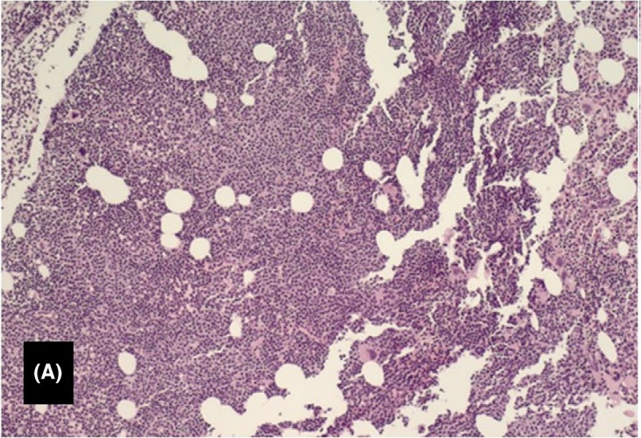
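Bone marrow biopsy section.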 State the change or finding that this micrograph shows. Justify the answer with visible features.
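Densely packed cells fill most of the marrow space in sheets. Only few scattered round fat spaces remain.
Diffuse cellular infiltration.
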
